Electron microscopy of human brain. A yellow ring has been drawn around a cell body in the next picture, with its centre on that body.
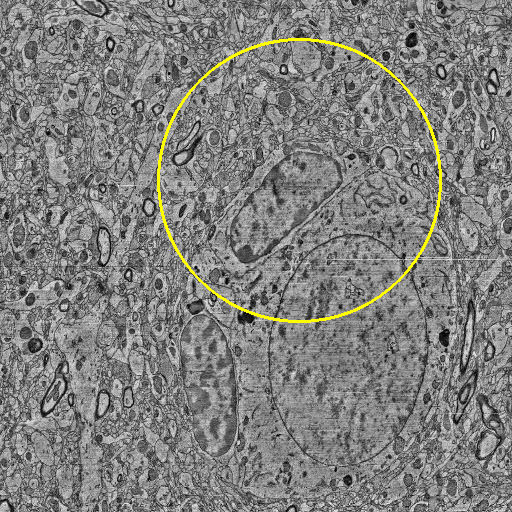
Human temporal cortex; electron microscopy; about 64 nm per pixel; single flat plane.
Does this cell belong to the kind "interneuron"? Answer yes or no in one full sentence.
No, the ringed cell in this picture, sitting at the ring's centre, is of another kind.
